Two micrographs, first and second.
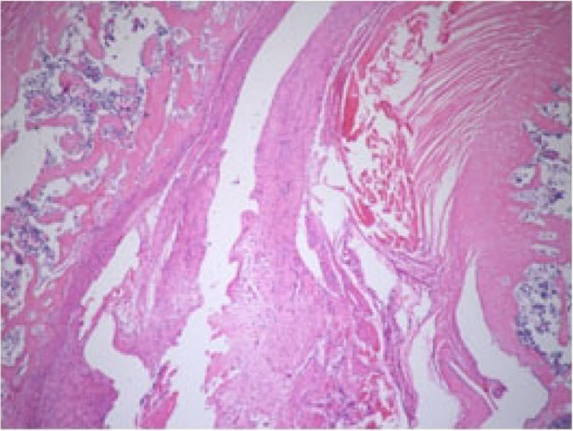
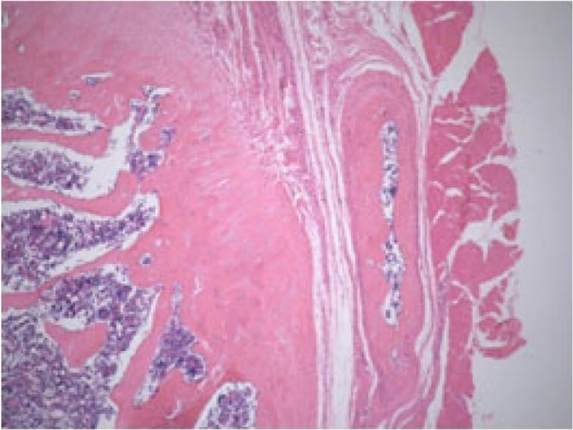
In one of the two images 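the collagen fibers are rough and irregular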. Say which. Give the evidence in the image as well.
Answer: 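First image: the pink fiber bundles are wavy, frayed and broken by irregular clefts. On this evidence: the first image.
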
